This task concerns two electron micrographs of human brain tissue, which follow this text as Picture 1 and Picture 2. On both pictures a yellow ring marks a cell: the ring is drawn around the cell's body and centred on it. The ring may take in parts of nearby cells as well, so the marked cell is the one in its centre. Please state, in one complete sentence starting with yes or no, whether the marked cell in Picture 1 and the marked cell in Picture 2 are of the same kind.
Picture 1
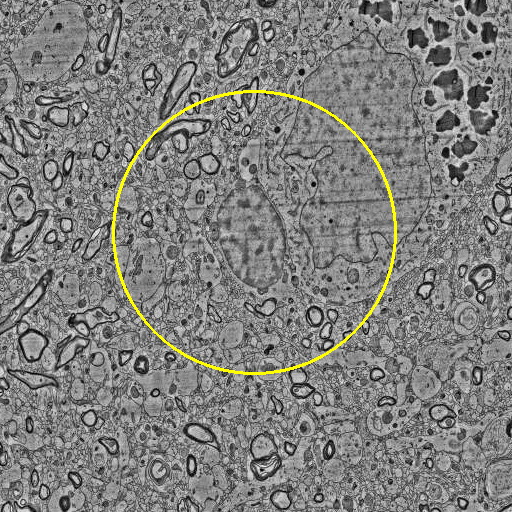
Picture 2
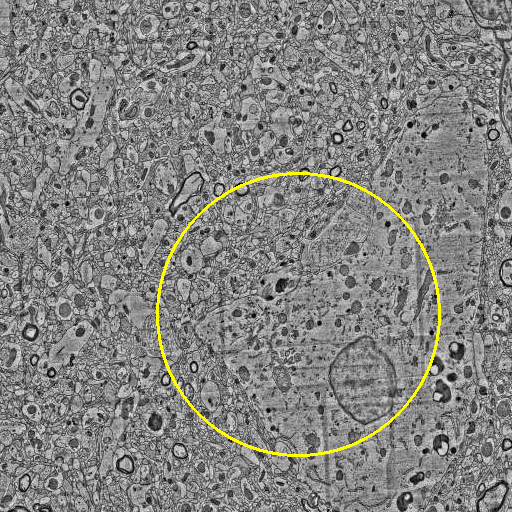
Yes, the marked cells in both pictures are of the same kind.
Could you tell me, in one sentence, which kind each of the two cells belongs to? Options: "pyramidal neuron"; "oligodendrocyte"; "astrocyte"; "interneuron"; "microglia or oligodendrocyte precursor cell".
Each of the two pictures has an oligodendrocyte at the ring centre.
